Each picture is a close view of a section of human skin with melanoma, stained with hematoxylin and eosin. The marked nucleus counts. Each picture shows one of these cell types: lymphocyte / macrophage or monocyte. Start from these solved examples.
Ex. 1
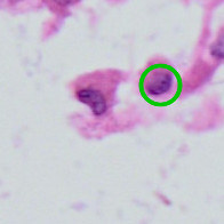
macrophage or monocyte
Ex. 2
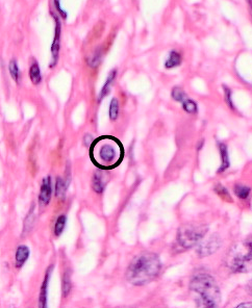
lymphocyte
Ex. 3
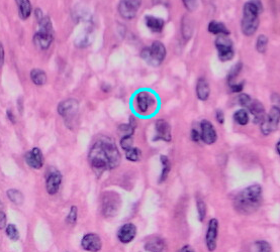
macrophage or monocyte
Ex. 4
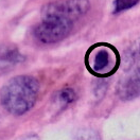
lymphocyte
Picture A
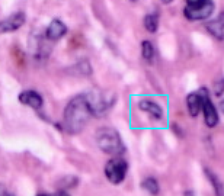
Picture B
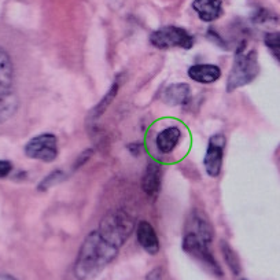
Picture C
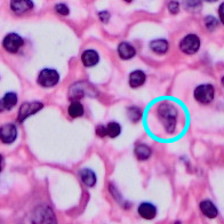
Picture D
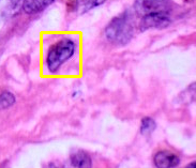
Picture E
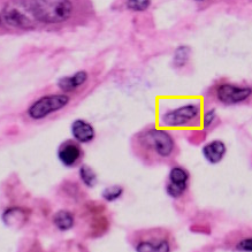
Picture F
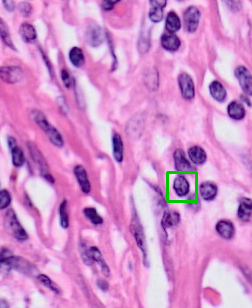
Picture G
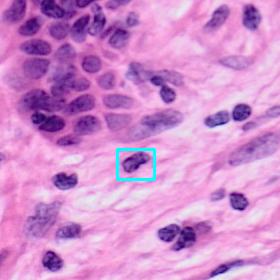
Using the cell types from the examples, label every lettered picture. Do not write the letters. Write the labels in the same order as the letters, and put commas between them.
lymphocyte, lymphocyte, macrophage or monocyte, macrophage or monocyte, macrophage or monocyte, lymphocyte, lymphocyte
